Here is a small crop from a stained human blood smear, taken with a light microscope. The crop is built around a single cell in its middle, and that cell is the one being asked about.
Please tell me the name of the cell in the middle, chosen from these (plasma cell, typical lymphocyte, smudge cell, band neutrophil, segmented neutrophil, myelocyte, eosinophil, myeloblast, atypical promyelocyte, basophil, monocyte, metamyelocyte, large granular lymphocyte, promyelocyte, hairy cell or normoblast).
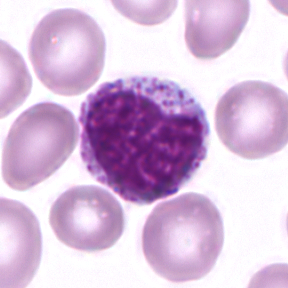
metamyelocyte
